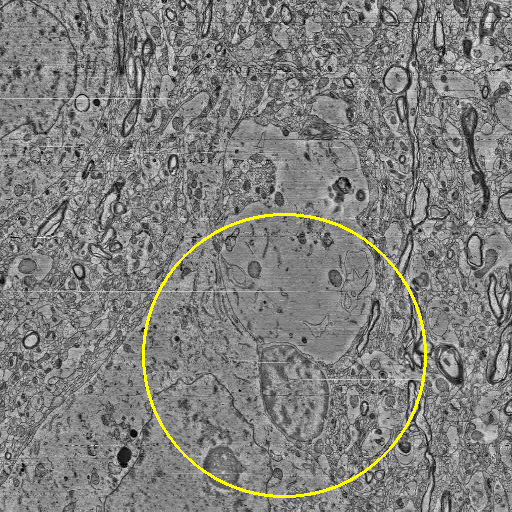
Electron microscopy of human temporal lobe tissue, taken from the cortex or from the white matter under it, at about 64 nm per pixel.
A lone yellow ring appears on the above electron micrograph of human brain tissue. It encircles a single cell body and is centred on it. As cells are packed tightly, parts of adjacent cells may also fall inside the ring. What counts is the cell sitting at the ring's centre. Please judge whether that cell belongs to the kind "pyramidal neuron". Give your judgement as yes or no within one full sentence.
No, the cell lying at the centre of the ring in the picture belongs to another kind.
